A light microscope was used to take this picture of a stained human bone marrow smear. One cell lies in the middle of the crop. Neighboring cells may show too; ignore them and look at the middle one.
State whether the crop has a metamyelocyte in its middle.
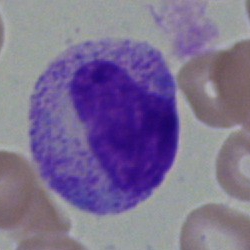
no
